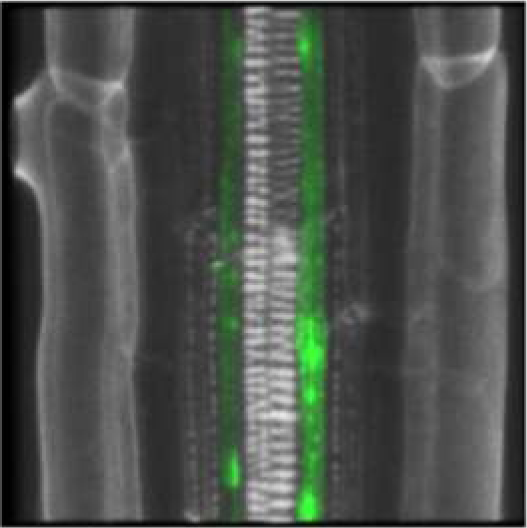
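A root seen lengthwise, with large outer cells outlined in grey on both sides and the central stele in the middle. A vessel with closely spaced ring-like wall thickenings runs down the centre, and green fluorescence lies in narrow cell files on either side of it.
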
